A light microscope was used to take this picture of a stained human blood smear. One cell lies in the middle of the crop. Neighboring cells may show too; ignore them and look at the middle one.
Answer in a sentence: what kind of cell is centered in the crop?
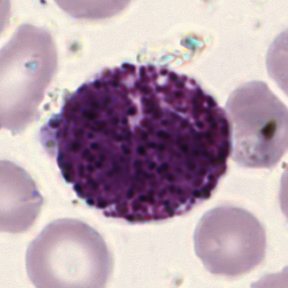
By type, the central cell of the crop is a basophil.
